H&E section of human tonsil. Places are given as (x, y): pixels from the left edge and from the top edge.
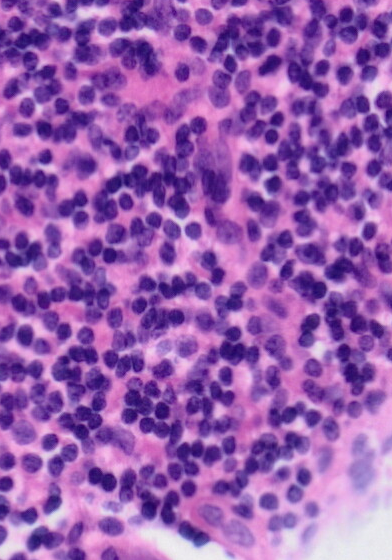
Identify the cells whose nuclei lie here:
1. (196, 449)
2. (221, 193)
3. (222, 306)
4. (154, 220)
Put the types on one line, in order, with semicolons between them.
small lymphocyte; endothelial cell; small lymphocyte; small lymphocyte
